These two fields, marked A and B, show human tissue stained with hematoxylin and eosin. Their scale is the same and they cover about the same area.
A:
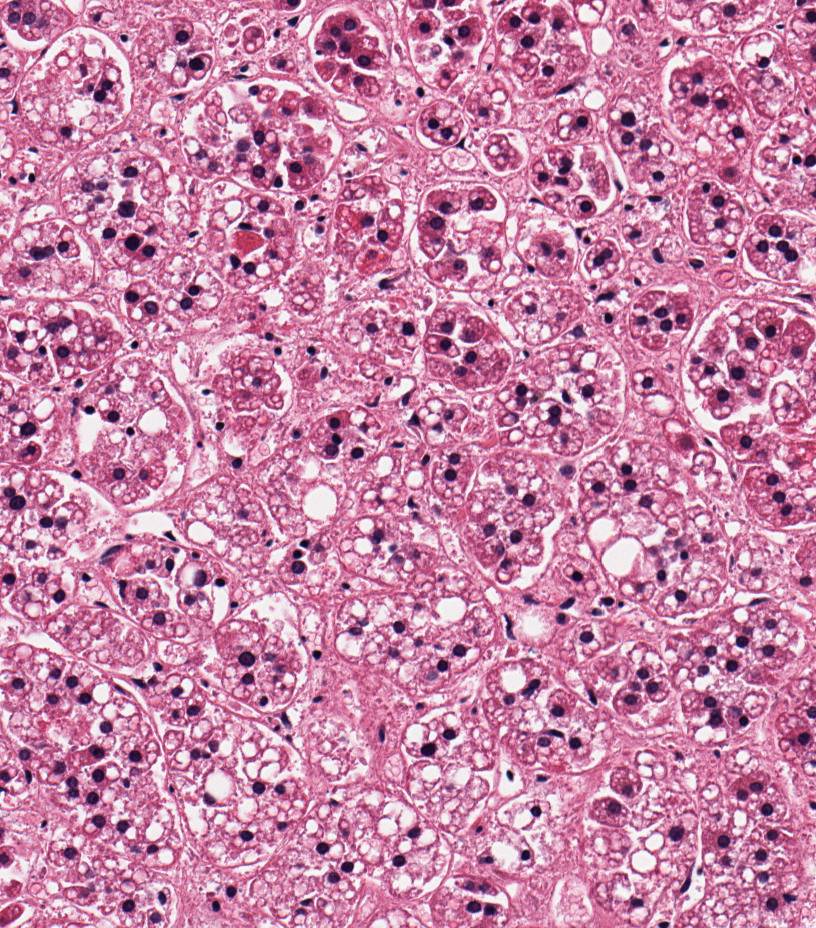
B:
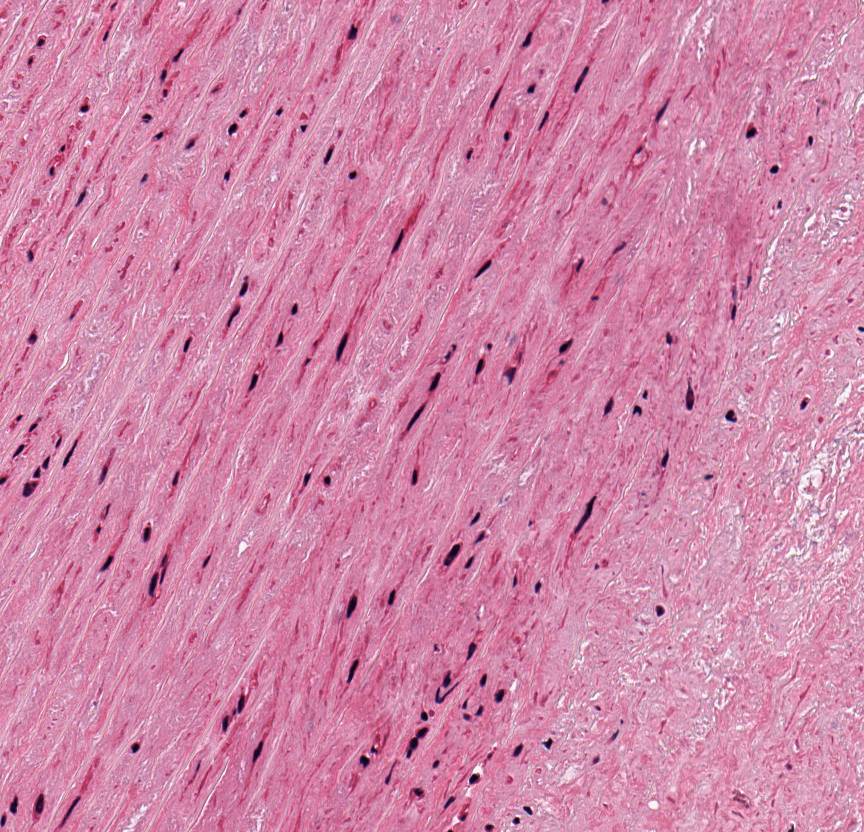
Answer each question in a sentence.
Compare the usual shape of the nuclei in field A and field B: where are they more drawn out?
The nuclei are more elongated in field B.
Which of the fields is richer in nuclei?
It is field A that has more nuclei in it.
